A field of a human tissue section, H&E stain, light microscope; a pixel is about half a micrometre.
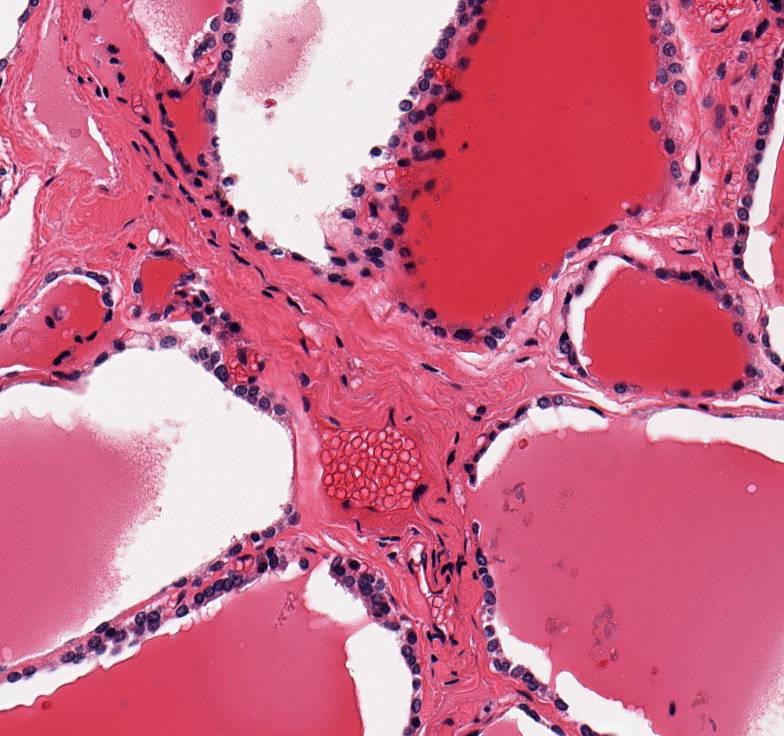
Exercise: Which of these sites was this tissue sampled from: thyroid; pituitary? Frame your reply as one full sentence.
The tissue on this slide is from the thyroid.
